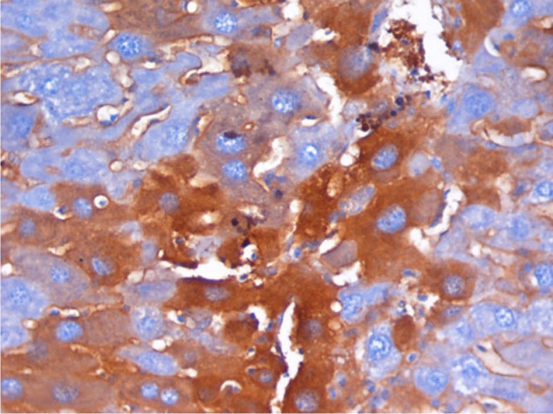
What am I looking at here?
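This is liver tissue with cords of large polygonal hepatocytes, each with a round, pale blue, centrally placed nucleus. Over broad confluent areas the cytoplasm of these hepatocytes is filled with a dense brown colour, while neighbouring cells remain pale bluish. Between the cell cords run narrow, irregular, empty-looking sinusoidal spaces, some lined by brown. Near the top a wider cleft contains dark granular debris. The dense brown staining lies within the hepatocytes themselves rather than only along the sinusoids.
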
